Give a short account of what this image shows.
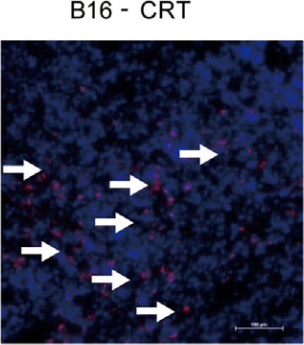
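This is a section of a solid tumor, in which the field is crowded with blue-stained nuclei of tightly packed tumor cells. Among them lie small, scattered cells picked out in red, each only a dot or speck at this magnification. The red cells are spread singly through the tissue rather than gathered in one cluster. Dark gaps between the sheets of nuclei mark spaces where the tissue is looser or cut away.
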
